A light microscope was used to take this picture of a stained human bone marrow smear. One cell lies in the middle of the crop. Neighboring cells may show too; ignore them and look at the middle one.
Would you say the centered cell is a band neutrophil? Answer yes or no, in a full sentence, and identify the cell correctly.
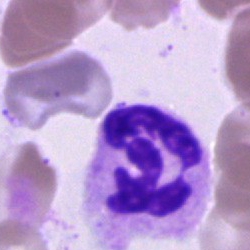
No, in this crop the middle cell is a segmented neutrophil, not a band neutrophil.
